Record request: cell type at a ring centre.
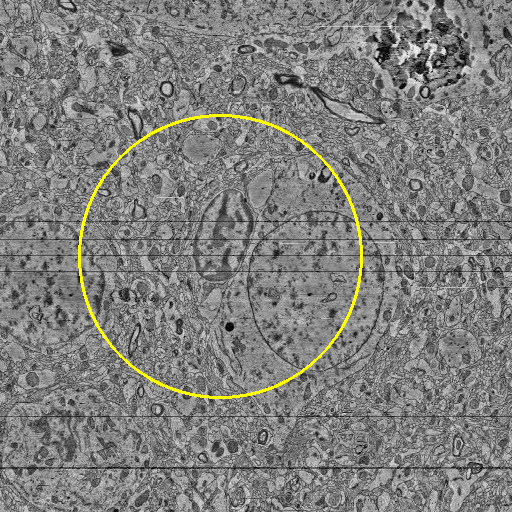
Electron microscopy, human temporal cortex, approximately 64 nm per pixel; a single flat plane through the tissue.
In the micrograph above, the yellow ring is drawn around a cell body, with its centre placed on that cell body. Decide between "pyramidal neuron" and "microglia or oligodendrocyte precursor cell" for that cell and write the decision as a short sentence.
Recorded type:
The cell centred in the yellow ring is a microglial cell or oligodendrocyte precursor cell.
